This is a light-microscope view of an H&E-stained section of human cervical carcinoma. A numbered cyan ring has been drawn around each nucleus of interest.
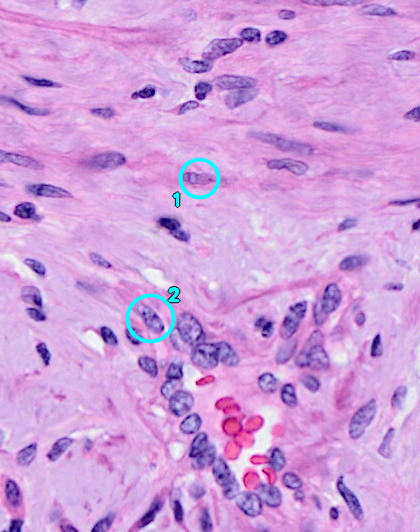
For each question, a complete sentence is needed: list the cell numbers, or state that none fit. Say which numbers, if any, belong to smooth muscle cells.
The cell bearing the number 1 is a smooth muscle cell, unlike the rest of the numbered cells.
